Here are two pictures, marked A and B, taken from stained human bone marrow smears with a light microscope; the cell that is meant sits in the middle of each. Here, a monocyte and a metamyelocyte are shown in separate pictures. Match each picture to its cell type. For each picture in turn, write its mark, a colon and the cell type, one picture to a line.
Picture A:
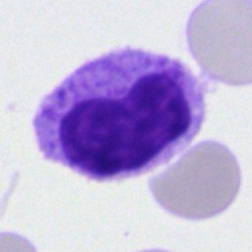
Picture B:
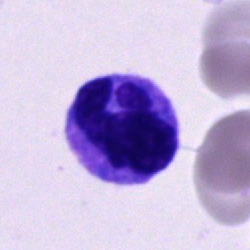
A: metamyelocyte
B: monocyte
